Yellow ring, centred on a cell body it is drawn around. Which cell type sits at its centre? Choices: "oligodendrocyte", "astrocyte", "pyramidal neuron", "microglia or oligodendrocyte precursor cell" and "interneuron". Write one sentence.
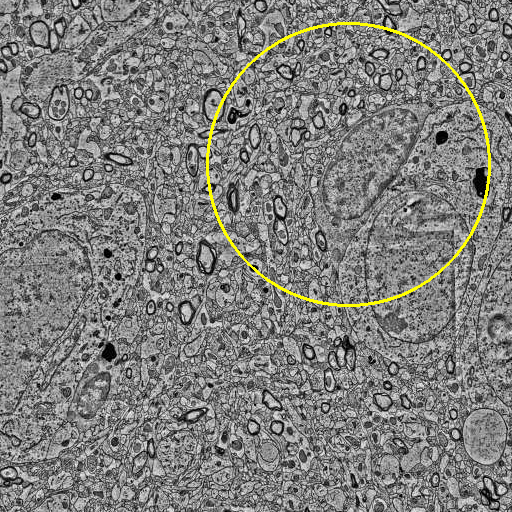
At the centre of the ring sits an oligodendrocyte.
